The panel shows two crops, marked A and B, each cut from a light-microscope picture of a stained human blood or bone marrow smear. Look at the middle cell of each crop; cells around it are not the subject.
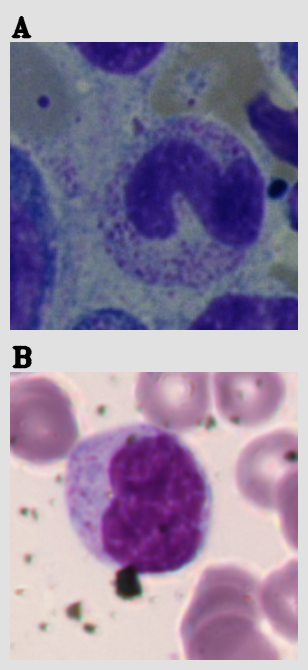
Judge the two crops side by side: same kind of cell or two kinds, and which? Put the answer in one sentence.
Yes, the two crops both show metamyelocytes.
